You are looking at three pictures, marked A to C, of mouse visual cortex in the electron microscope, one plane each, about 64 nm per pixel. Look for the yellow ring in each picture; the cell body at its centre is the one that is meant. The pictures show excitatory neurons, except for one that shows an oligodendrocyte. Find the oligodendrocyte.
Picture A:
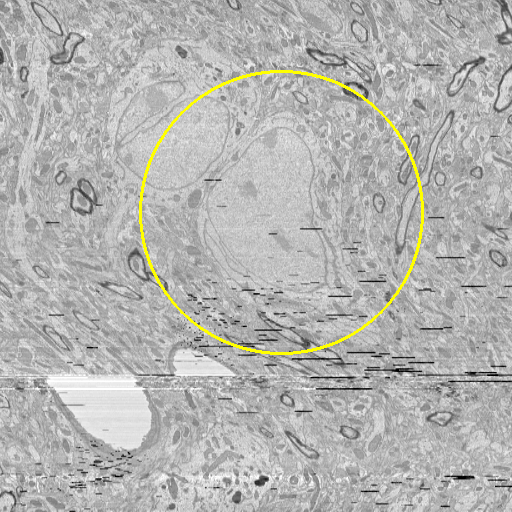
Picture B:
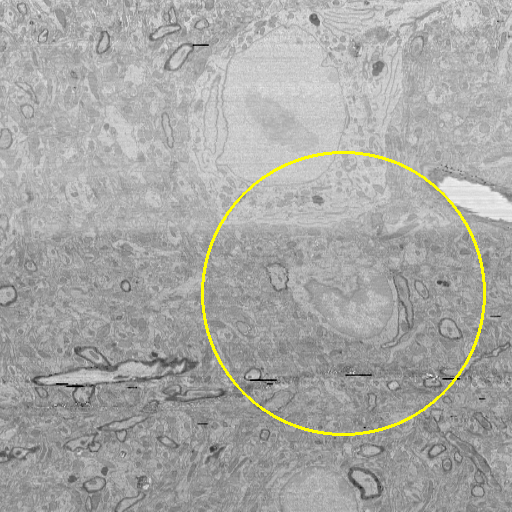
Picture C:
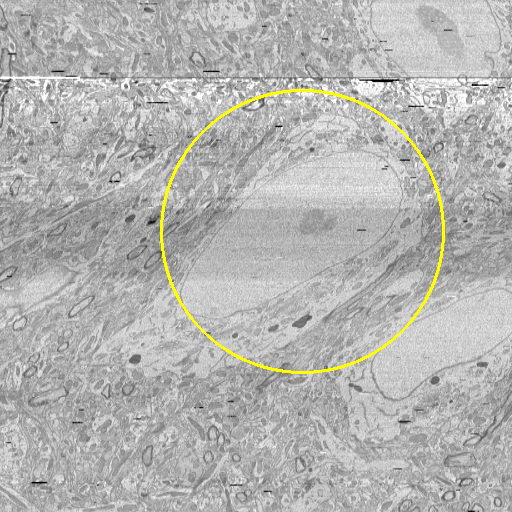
Picture B is the one that shows the oligodendrocyte.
